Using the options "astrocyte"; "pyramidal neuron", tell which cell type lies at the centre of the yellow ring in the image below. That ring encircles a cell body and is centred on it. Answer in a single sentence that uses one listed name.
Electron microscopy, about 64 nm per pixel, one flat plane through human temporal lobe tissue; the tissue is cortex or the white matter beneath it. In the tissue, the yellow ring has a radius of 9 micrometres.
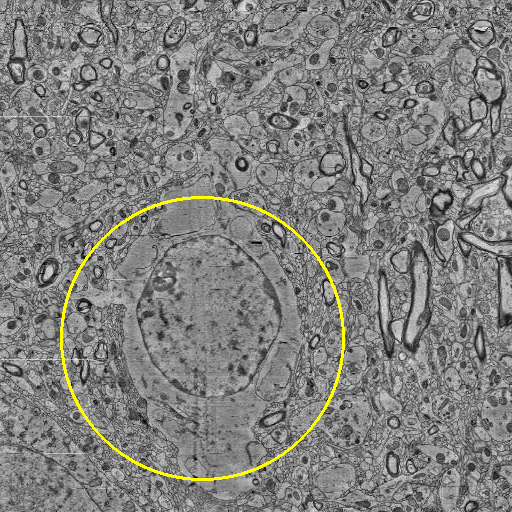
At the centre of the yellow ring lies the body of an astrocyte.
